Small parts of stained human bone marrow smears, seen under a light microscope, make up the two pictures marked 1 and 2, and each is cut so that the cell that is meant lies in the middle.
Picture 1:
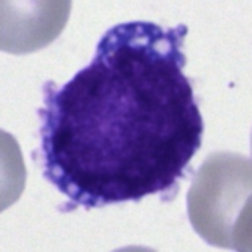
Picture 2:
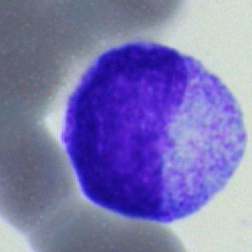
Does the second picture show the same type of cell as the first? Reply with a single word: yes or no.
no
